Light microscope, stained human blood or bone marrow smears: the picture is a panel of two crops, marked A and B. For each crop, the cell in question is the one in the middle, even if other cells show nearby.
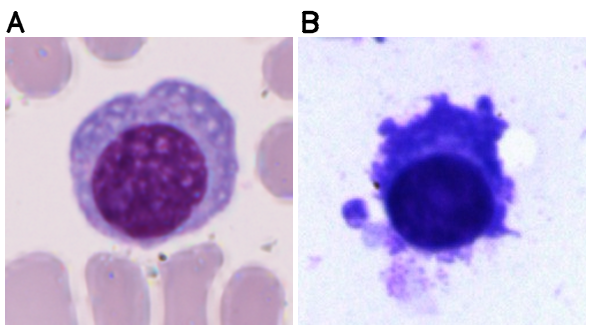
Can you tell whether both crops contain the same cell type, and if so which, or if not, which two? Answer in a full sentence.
Yes, with regard to both crops, the central cells are plasma cells.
